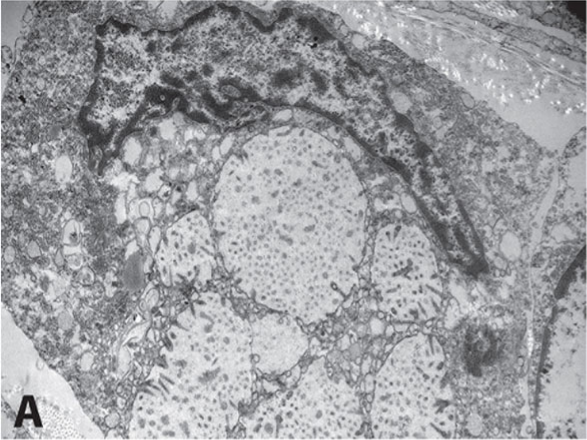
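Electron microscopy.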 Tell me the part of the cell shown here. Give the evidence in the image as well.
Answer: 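Large round pale membrane-bound spaces fill the middle of the cell. The nucleus is flattened and pressed against the upper edge of the cell. That points to this answer: intracellular vacuoles.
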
